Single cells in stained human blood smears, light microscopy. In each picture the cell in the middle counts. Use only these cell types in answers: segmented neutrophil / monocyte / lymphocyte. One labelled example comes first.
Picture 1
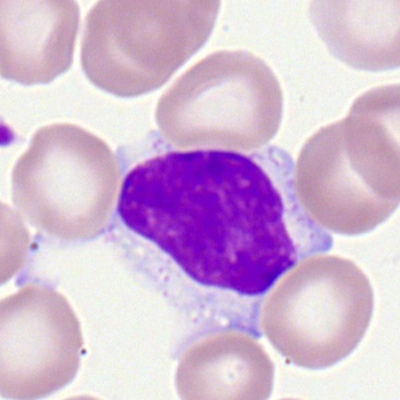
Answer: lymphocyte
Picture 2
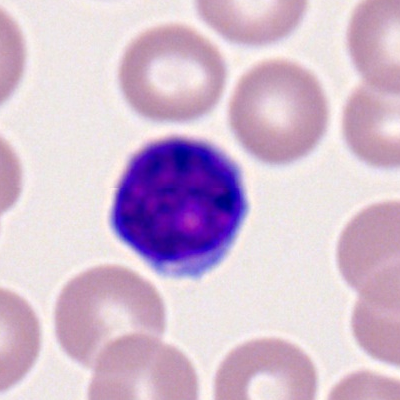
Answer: lymphocyte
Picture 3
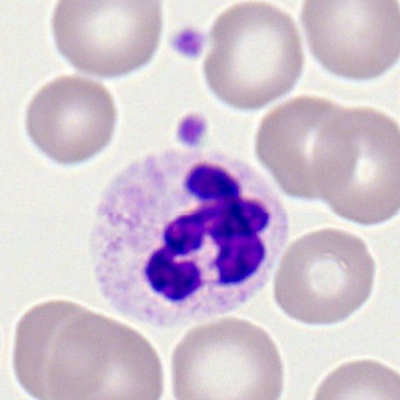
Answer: segmented neutrophil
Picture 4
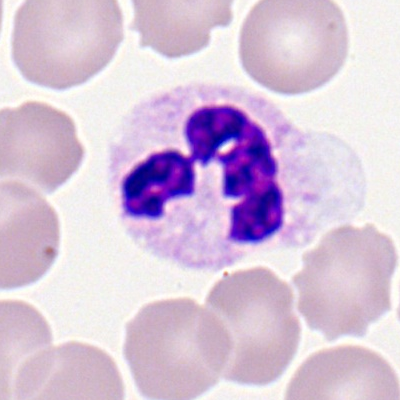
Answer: segmented neutrophil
